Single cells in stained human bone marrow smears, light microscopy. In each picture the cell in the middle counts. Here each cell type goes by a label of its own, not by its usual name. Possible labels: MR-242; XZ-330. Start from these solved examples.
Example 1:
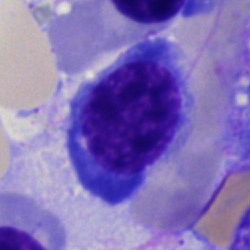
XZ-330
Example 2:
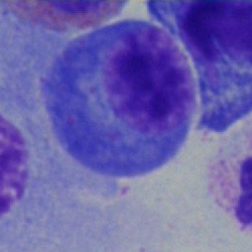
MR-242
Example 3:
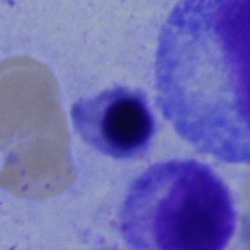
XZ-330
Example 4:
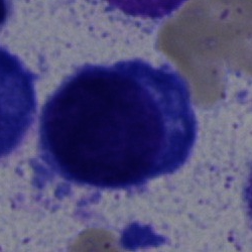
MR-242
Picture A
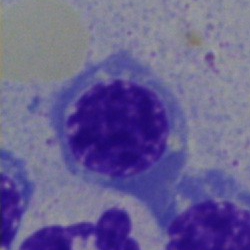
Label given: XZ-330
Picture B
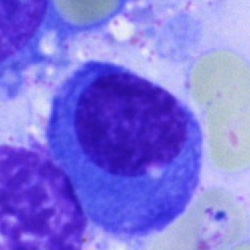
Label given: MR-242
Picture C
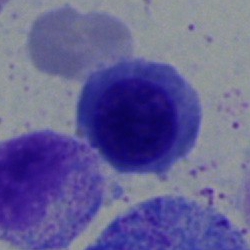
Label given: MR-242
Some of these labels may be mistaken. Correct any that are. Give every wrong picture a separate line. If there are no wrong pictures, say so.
C should be XZ-330, not MR-242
